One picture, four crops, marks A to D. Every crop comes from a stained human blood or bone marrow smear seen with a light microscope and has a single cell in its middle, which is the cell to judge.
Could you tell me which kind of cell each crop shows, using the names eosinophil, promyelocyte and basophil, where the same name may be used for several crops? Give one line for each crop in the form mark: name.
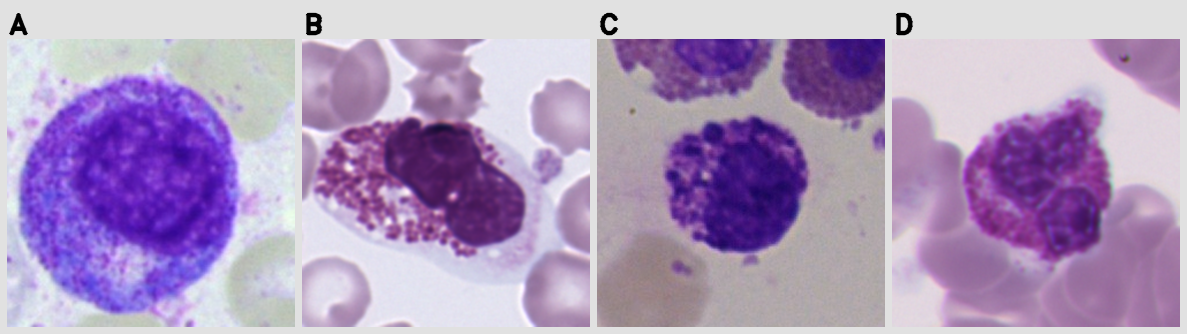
A: promyelocyte
B: eosinophil
C: basophil
D: eosinophil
